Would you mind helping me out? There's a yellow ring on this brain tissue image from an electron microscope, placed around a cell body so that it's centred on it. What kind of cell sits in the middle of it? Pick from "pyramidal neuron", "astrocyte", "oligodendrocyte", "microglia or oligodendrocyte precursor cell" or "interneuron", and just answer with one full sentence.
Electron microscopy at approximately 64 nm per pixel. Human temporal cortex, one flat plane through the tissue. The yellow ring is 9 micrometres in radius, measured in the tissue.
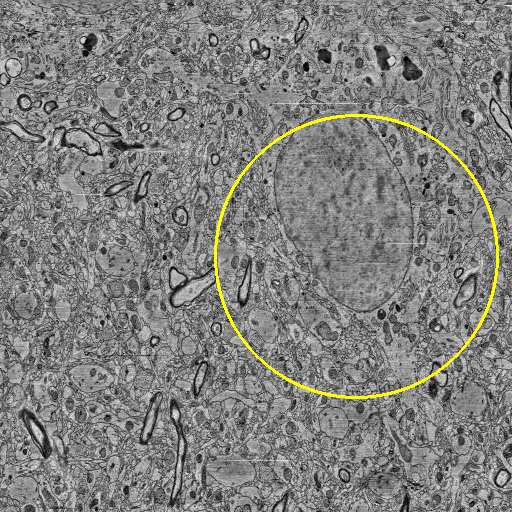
What sits in the middle of that yellow ring is an interneuron, from your choices.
